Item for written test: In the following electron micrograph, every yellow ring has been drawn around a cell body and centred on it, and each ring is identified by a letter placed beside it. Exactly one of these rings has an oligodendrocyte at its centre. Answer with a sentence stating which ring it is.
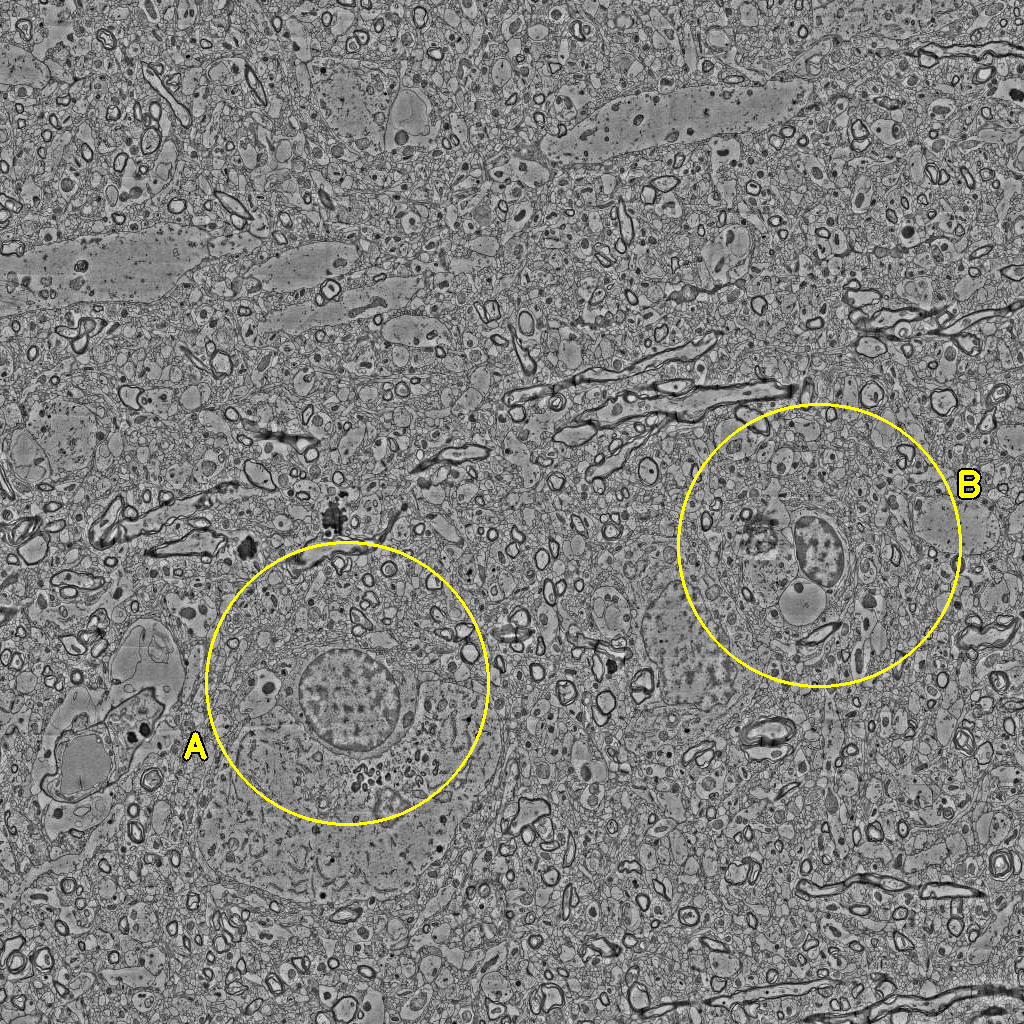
It is ring A.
